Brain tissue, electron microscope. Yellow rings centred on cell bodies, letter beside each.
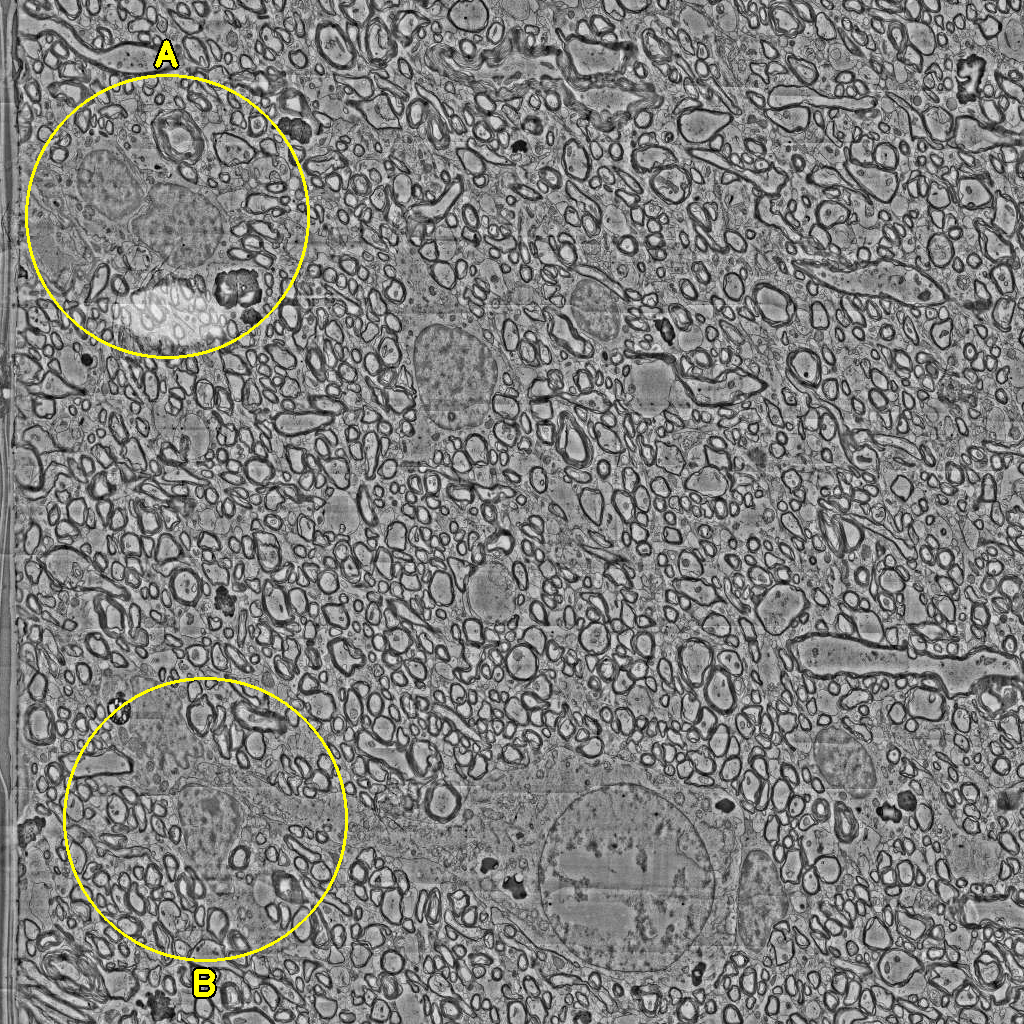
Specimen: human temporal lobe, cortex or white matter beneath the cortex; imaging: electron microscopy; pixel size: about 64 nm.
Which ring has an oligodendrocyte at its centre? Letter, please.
A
